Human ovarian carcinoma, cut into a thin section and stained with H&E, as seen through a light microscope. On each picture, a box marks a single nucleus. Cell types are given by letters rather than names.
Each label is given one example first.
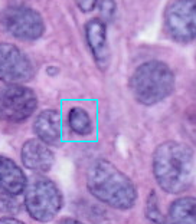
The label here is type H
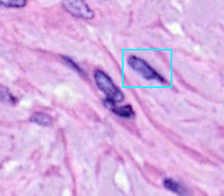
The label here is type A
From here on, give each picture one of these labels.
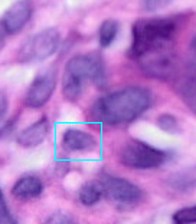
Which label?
type H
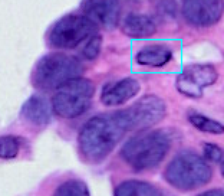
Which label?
type H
